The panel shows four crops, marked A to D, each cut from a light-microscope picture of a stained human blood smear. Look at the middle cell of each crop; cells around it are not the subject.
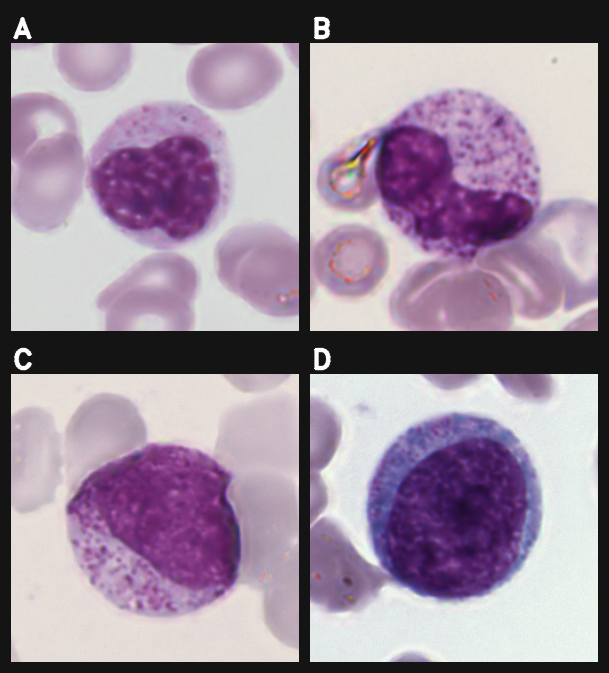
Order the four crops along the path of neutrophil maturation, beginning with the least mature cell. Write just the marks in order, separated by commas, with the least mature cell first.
D, C, A, B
